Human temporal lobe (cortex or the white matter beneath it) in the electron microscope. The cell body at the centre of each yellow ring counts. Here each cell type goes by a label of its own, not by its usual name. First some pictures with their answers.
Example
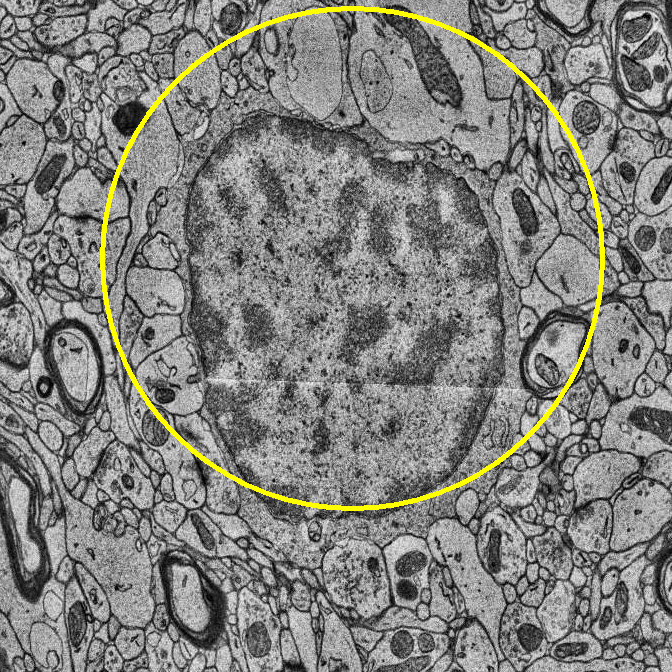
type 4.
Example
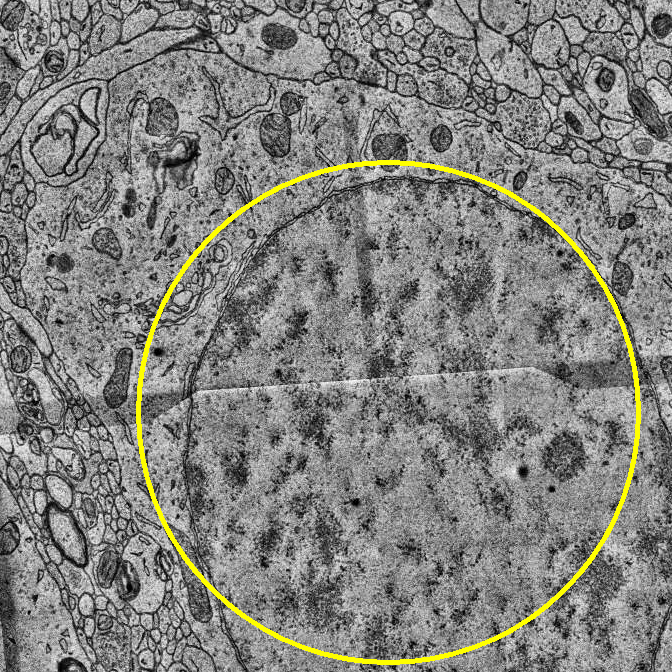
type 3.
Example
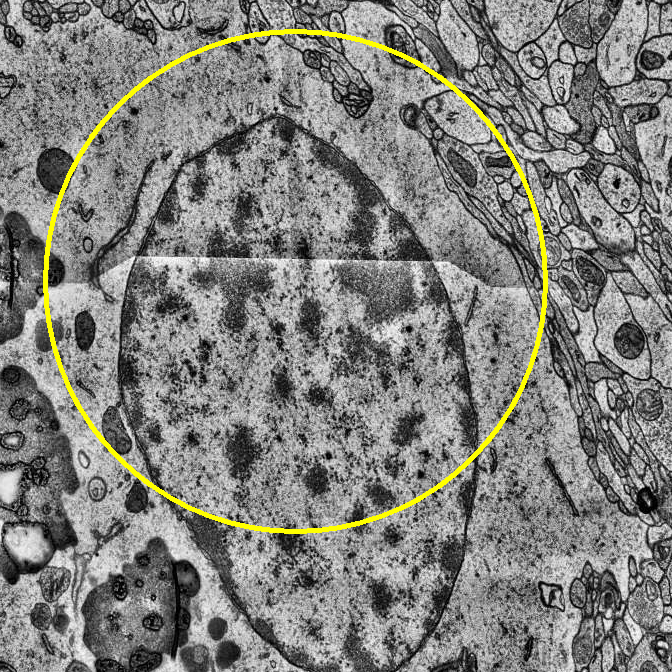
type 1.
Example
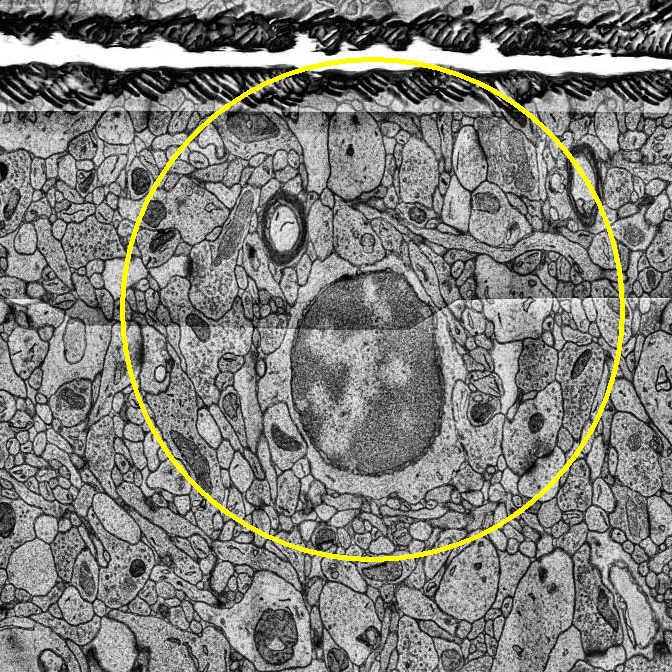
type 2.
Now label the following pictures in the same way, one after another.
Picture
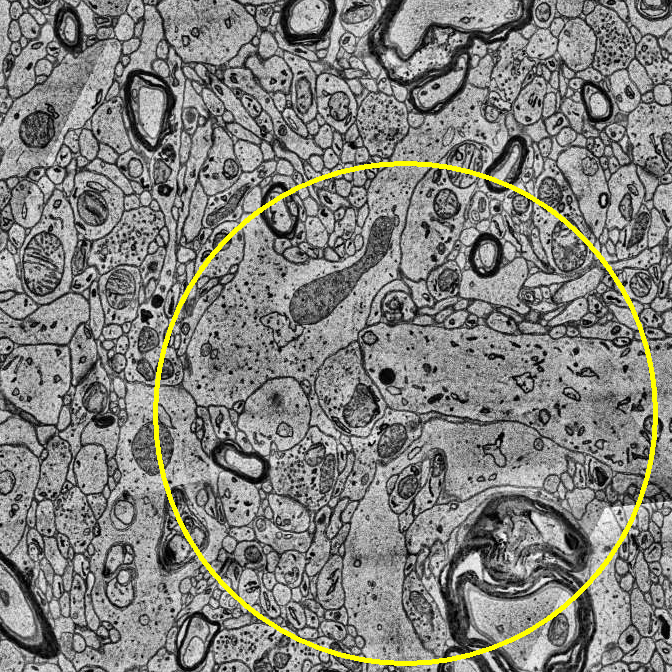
type 4.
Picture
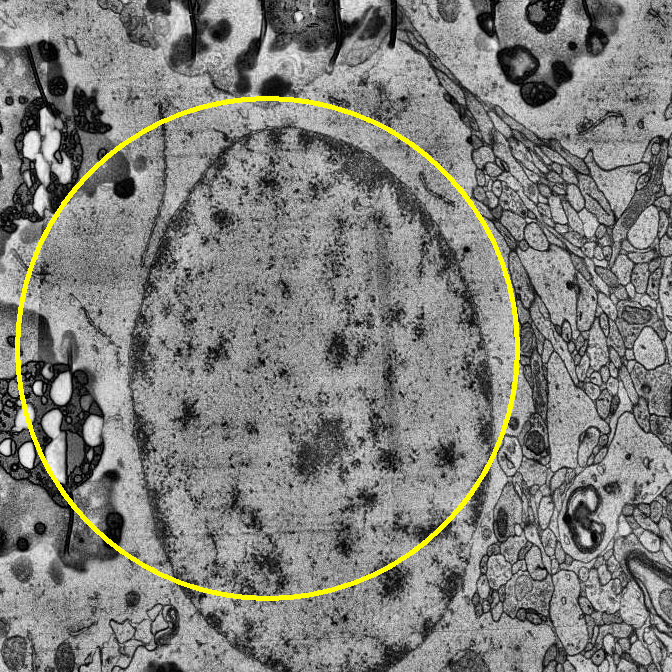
type 1.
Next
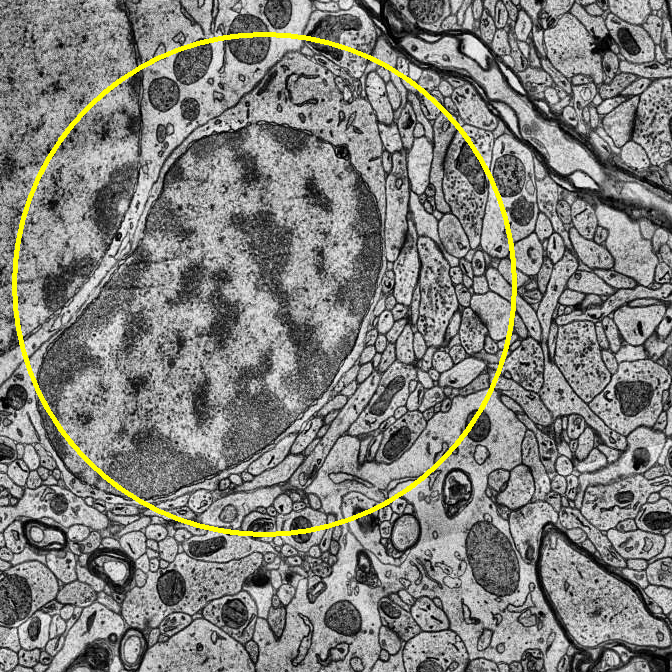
type 2.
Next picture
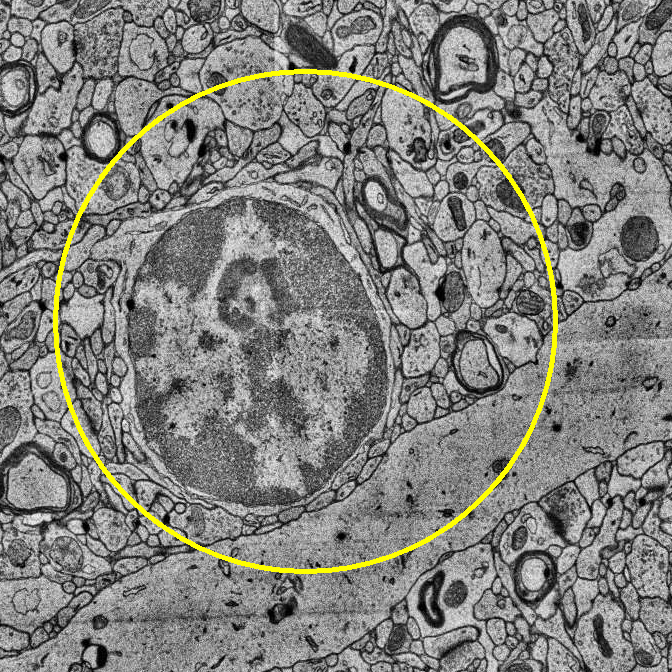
type 2.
